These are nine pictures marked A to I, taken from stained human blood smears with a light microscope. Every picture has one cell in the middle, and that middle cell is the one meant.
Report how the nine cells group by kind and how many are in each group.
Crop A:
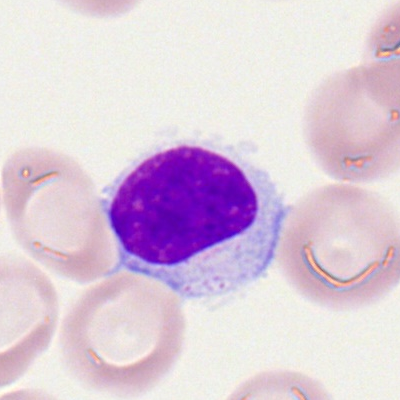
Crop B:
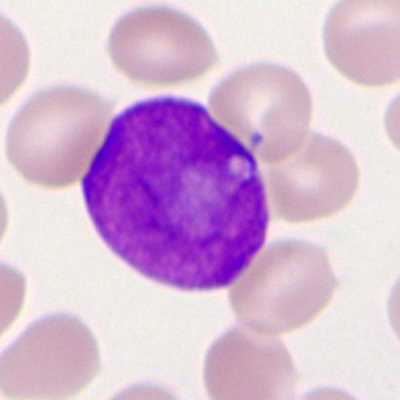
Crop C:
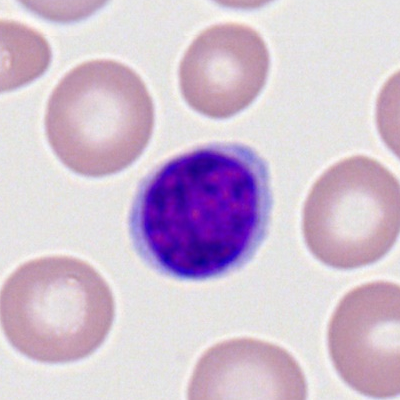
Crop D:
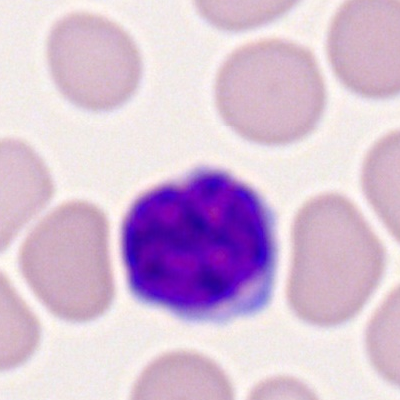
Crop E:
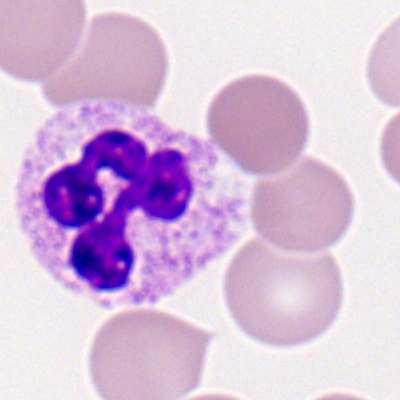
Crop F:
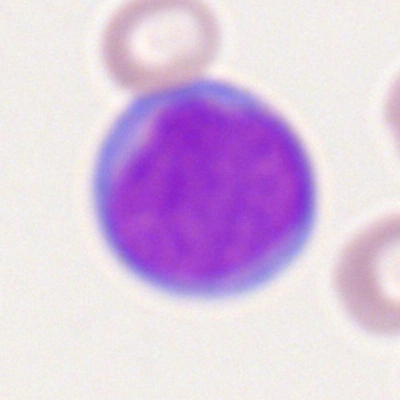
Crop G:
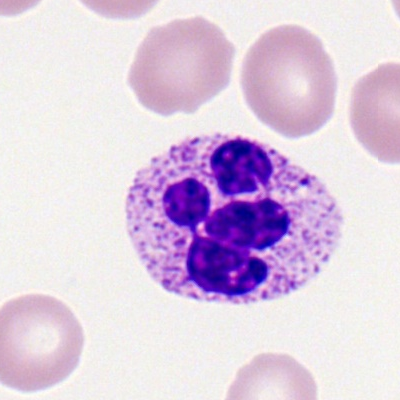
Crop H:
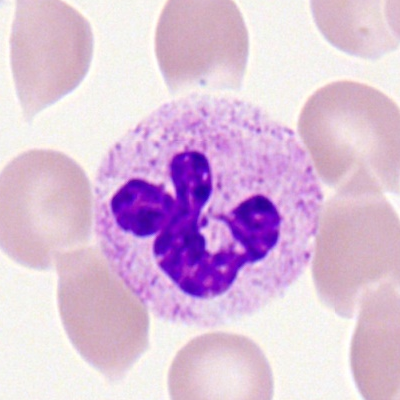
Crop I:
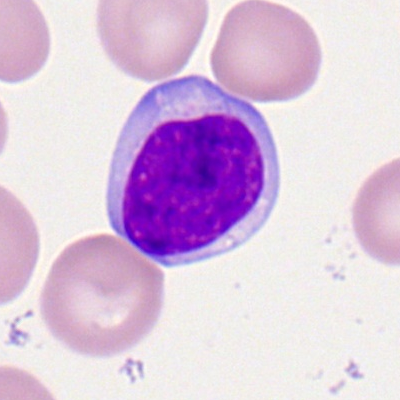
lymphocyte: 4
neutrophil: 3
blast: 2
